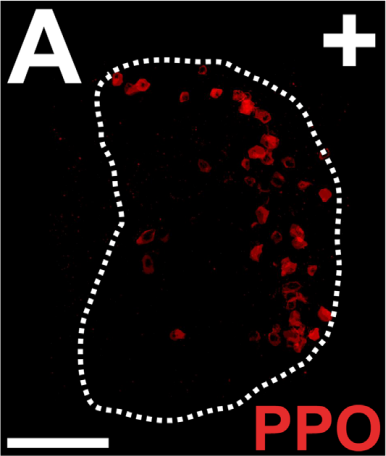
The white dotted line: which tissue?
Lymph gland.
